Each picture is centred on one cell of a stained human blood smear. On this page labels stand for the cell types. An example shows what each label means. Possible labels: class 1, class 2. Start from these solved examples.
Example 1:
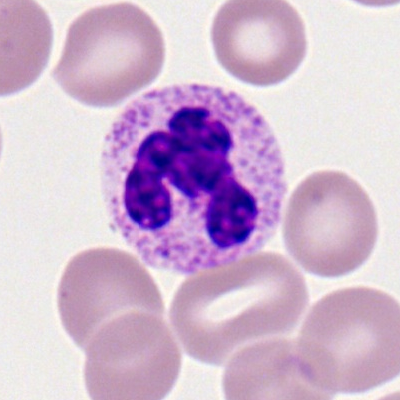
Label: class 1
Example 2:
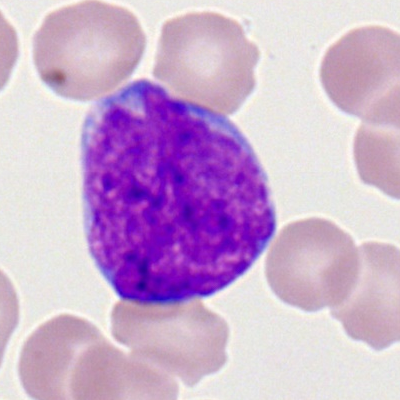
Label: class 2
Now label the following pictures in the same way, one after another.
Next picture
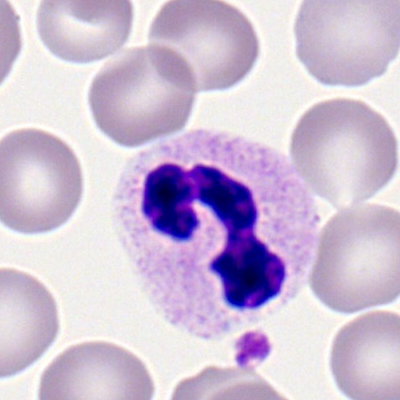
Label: class 1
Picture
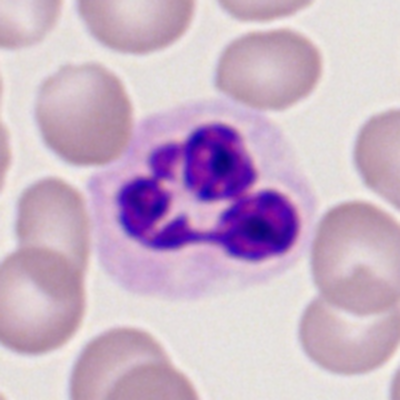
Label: class 1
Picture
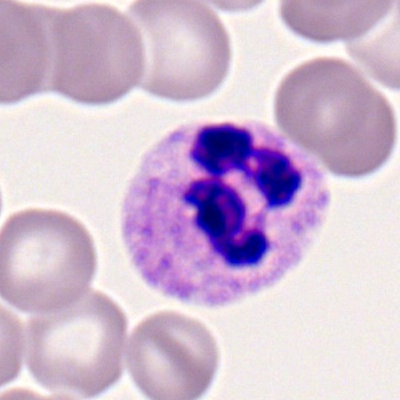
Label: class 1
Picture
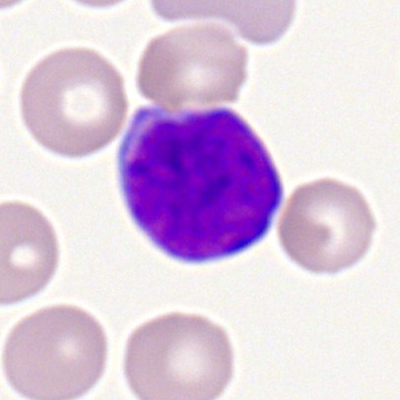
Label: class 2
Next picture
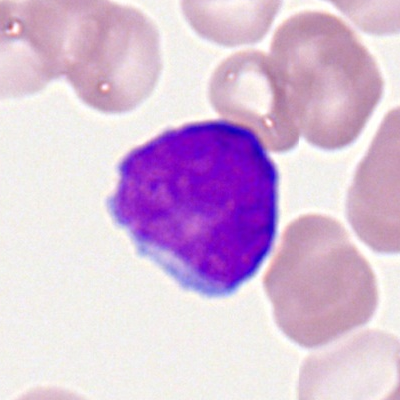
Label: class 2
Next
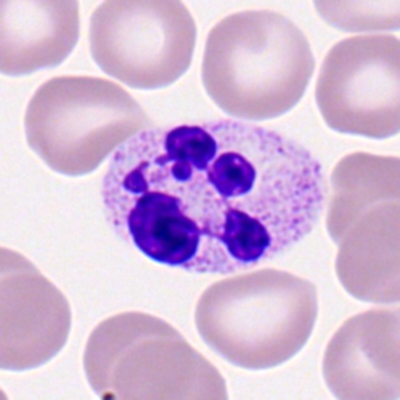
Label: class 1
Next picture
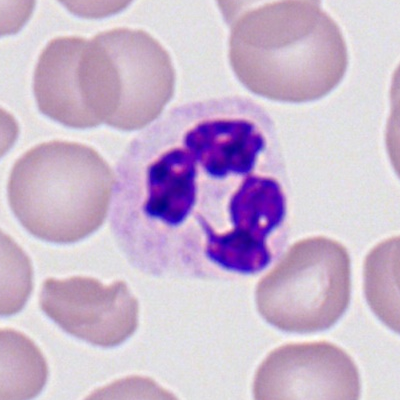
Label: class 1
